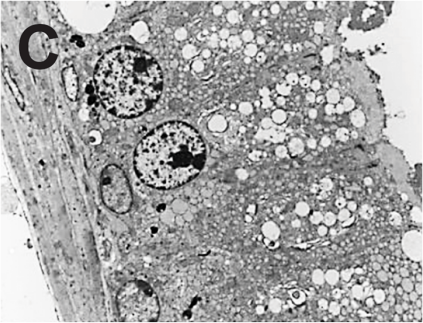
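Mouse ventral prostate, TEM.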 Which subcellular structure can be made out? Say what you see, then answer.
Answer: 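Numerous small round pale vesicles fill the cytoplasm toward the lumen side. So: clear secretory vesicles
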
